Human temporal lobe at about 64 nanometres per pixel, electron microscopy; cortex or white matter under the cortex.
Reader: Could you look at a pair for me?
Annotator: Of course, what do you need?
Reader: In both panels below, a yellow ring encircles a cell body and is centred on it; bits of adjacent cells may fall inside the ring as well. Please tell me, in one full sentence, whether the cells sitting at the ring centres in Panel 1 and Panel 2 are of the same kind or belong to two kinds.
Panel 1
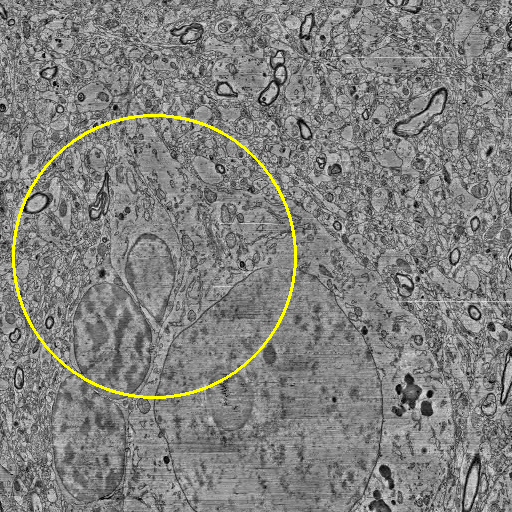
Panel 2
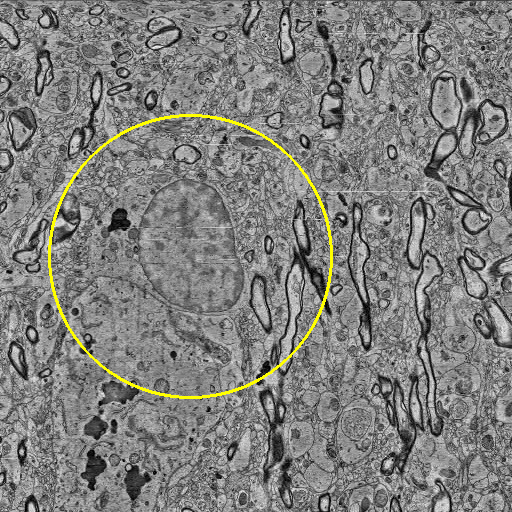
The cell at the ring's centre in Panel 1 and the one in Panel 2 belong to two kinds.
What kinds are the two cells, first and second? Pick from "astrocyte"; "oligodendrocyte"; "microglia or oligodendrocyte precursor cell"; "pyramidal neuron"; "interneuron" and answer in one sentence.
The second picture holds an oligodendrocyte in its ring, and the first holds a microglial cell or oligodendrocyte precursor cell.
